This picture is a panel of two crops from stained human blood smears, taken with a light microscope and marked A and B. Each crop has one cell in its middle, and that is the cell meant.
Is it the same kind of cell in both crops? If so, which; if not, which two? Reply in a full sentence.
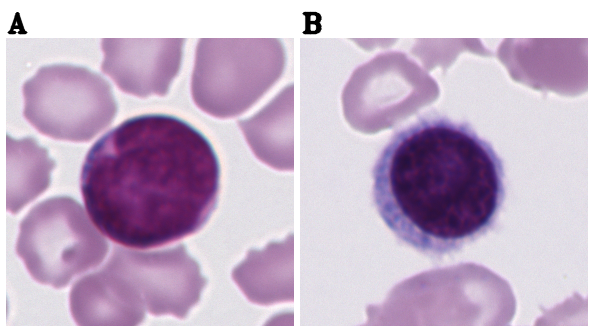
No, a myeloblast lies at the centre of crop A, and a hairy cell lies at the centre of crop B.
